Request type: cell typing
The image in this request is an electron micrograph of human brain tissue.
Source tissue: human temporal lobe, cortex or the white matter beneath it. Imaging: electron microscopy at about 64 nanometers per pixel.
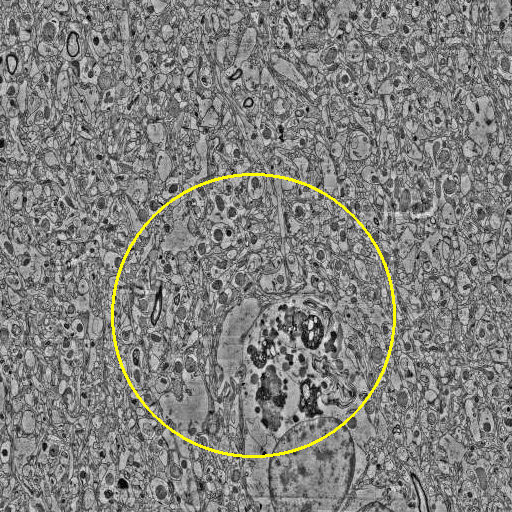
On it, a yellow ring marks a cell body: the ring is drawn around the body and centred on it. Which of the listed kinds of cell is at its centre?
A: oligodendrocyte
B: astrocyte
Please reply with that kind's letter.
B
